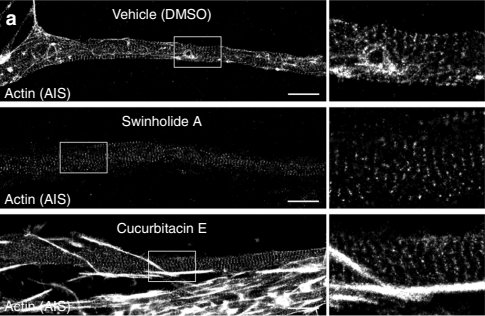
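The labeled material appears white on black, with faint transverse bands repeating regularly along the axon shaft. In the top image bright, thick fibres and patches lie alongside and over the axon, partly obscuring the banded pattern. In the middle image the overall label is dimmer and the axon shows mainly the fine periodic dotted bands. In the bottom image the periodic bands are distinct along the axon, while very bright straight fibres cross the field at an angle beside it.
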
